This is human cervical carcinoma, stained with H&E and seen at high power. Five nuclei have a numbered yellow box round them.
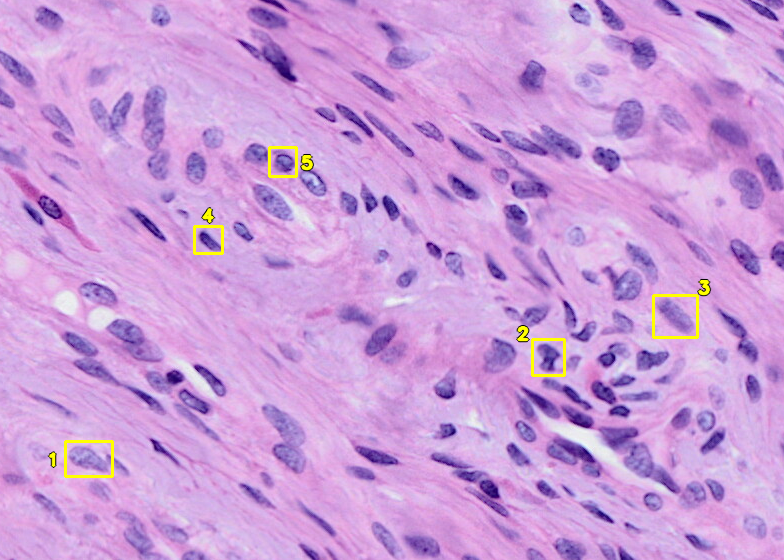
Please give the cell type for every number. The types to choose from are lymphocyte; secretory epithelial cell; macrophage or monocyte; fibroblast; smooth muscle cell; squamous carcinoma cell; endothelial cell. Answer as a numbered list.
1. smooth muscle cell
2. fibroblast
3. fibroblast
4. fibroblast
5. smooth muscle cell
